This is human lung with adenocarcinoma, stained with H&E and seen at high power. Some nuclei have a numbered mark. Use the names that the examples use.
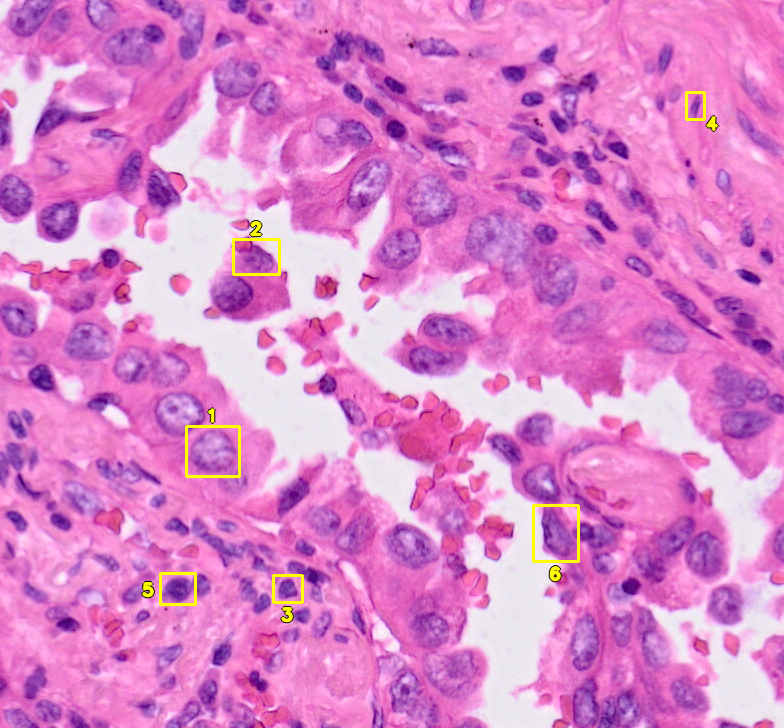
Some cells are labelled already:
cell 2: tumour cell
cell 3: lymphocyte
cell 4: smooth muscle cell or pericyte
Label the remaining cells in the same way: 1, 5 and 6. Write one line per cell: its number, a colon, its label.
1: tumour cell
5: lymphocyte
6: tumour cell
